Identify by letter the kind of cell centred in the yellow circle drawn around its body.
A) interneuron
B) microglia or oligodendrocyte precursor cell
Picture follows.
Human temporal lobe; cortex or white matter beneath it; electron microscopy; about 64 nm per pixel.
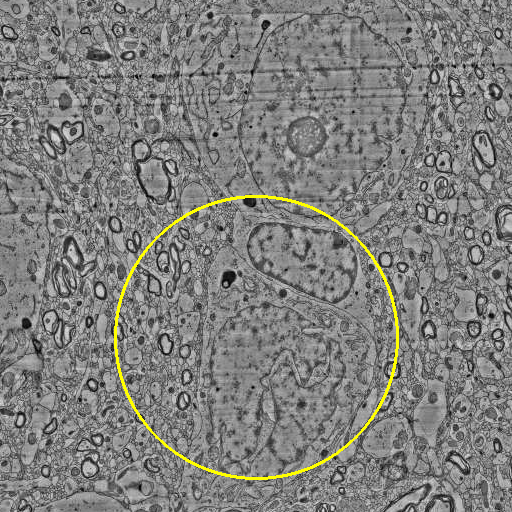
A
